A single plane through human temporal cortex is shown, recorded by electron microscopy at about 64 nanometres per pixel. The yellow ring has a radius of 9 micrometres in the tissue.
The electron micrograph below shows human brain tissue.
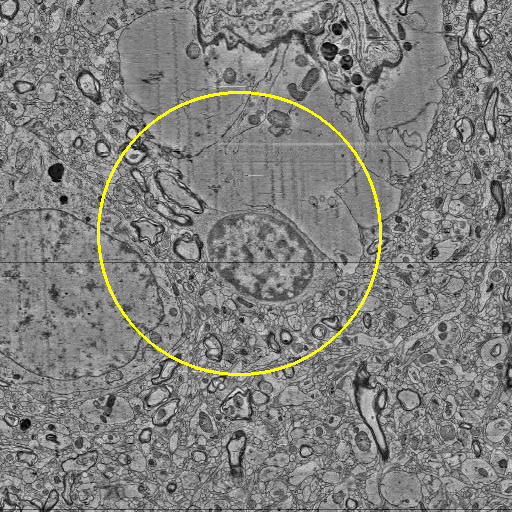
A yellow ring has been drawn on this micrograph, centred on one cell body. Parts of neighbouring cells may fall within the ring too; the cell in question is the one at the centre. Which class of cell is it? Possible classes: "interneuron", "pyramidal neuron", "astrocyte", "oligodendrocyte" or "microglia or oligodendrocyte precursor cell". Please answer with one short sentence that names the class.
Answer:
In the centre of the ring sits an oligodendrocyte.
